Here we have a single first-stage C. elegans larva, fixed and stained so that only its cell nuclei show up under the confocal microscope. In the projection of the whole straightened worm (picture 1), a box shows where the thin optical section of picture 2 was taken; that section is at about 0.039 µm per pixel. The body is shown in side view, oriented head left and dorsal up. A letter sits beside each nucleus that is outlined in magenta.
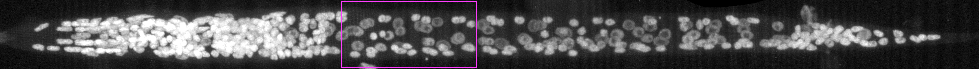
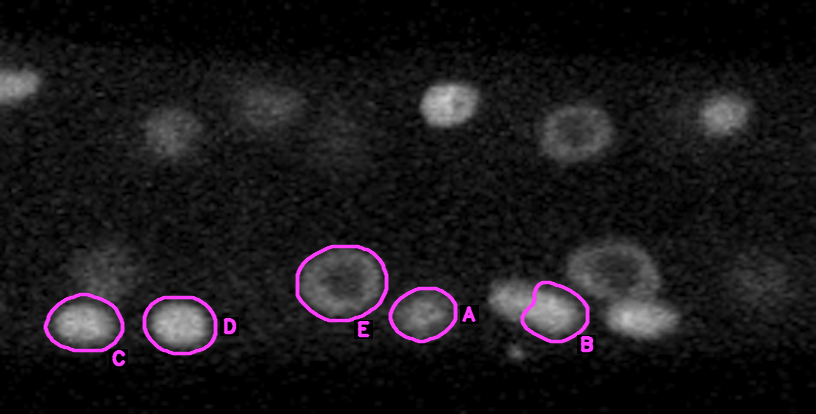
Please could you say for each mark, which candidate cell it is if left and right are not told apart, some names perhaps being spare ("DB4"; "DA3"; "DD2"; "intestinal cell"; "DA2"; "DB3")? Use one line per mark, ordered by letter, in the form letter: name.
A: DD2
B: DA3
C: DB3
D: DA2
E: intestinal cell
